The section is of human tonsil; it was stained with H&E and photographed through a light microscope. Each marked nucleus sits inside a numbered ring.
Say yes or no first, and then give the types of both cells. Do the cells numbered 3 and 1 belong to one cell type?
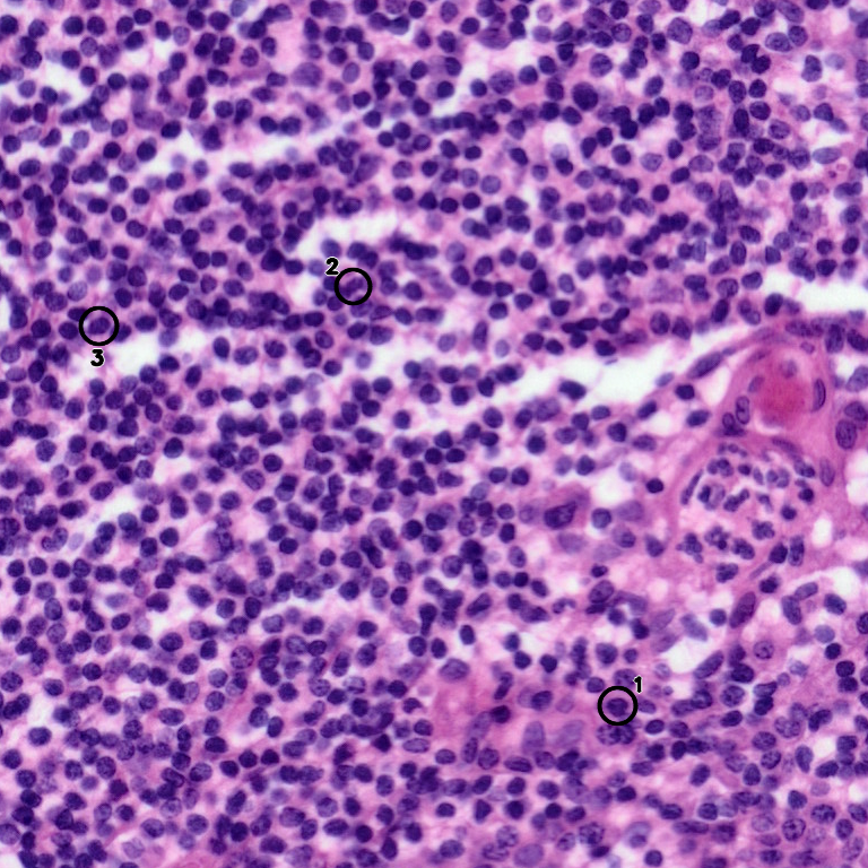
No, cell 3 is a small lymphocyte; cell 1, by contrast, is a plasma cell.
